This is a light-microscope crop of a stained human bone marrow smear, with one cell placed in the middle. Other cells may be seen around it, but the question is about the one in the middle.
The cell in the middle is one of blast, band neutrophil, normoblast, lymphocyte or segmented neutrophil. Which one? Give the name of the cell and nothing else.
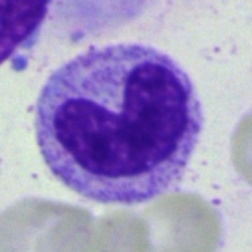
band neutrophil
